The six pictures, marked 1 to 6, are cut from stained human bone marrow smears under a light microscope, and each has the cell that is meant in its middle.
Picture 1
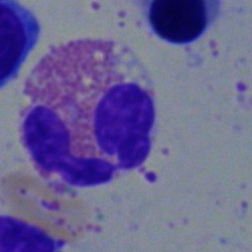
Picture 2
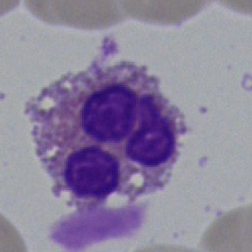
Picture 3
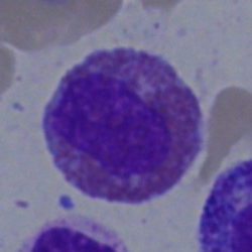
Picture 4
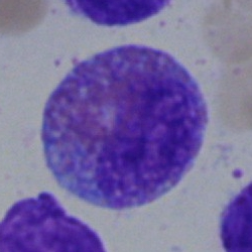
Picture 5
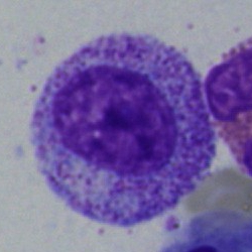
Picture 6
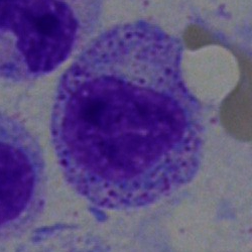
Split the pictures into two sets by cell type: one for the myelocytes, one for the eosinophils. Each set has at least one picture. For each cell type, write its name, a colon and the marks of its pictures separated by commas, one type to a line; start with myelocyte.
myelocyte: 5, 6
eosinophil: 1, 2, 3, 4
